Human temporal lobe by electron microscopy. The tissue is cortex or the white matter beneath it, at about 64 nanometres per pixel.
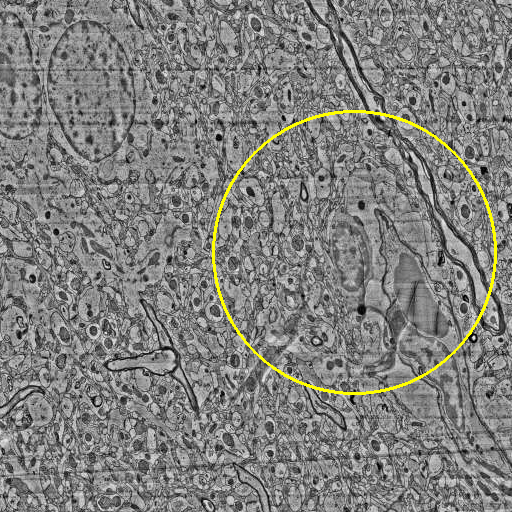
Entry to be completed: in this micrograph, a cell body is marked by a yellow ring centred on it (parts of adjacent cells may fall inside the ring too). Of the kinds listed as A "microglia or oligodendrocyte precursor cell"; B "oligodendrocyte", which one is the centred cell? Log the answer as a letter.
B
